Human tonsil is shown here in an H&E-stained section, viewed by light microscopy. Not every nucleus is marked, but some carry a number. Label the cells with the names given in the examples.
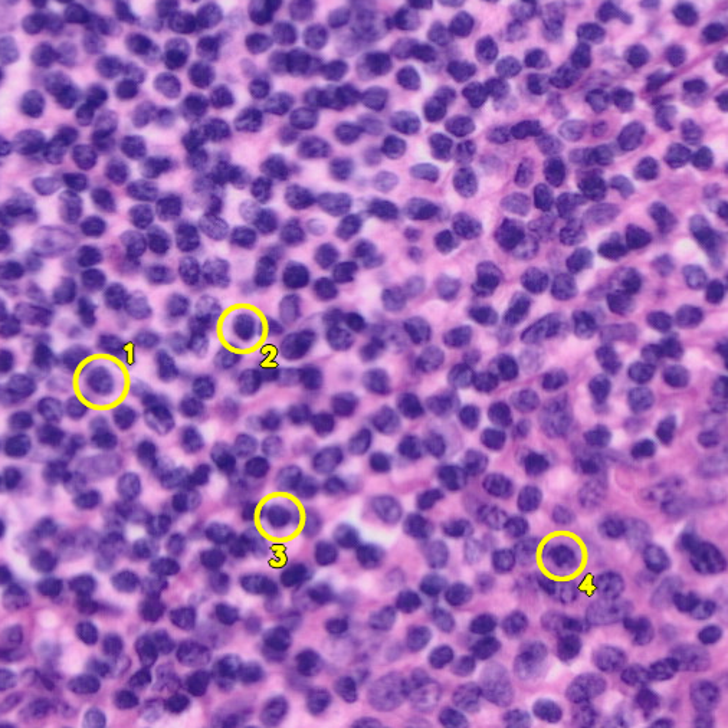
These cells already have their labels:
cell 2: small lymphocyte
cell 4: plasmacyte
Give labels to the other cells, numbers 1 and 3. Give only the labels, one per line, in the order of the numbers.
small lymphocyte
small lymphocyte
